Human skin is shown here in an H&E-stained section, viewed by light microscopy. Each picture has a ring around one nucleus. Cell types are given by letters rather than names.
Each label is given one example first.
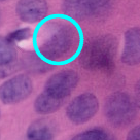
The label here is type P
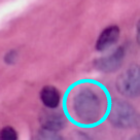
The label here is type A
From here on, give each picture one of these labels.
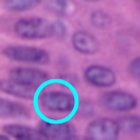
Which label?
type P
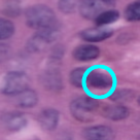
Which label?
type A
